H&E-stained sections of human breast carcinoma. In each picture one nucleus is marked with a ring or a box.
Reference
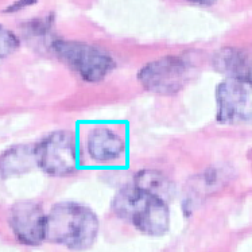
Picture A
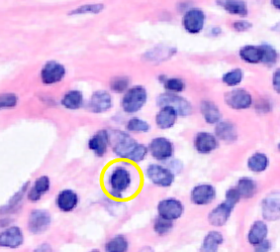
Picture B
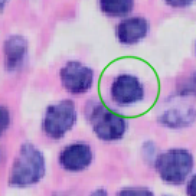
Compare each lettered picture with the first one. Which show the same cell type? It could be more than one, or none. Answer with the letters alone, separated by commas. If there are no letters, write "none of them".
none of them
